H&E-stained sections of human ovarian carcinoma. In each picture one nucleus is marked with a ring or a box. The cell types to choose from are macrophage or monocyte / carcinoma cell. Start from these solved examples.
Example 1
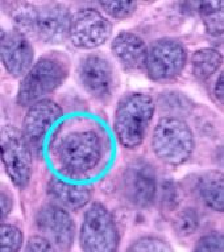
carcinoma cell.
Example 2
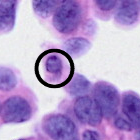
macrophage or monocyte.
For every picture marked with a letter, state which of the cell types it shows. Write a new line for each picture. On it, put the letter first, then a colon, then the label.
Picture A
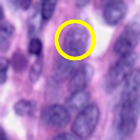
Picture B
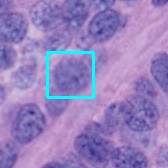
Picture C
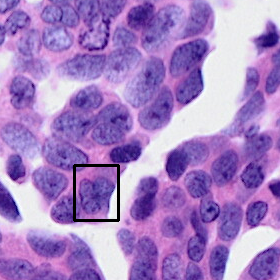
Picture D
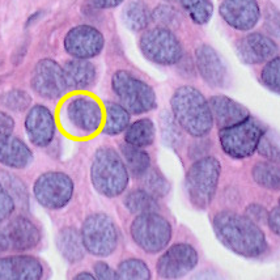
A: carcinoma cell.
B: carcinoma cell.
C: carcinoma cell.
D: carcinoma cell.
